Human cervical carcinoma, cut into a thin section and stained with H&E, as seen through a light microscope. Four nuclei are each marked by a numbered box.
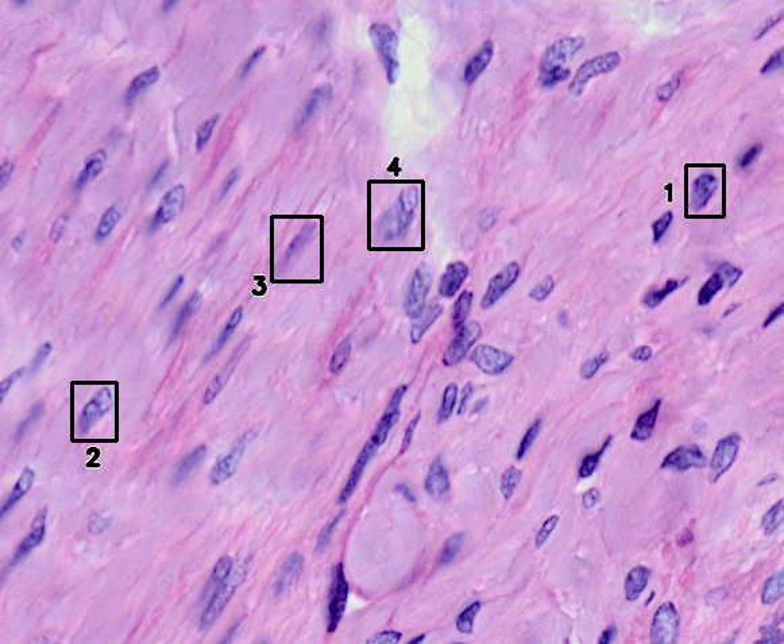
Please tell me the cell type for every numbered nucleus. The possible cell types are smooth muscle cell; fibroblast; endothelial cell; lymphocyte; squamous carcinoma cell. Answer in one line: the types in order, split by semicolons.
fibroblast; fibroblast; smooth muscle cell; fibroblast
